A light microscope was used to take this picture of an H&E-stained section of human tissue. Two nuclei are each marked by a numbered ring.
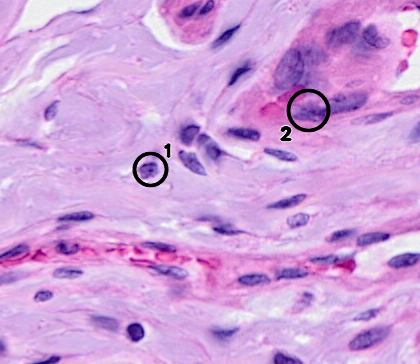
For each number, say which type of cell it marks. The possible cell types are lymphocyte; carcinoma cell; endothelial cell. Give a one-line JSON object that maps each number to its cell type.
{"1": "lymphocyte", "2": "endothelial cell"}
